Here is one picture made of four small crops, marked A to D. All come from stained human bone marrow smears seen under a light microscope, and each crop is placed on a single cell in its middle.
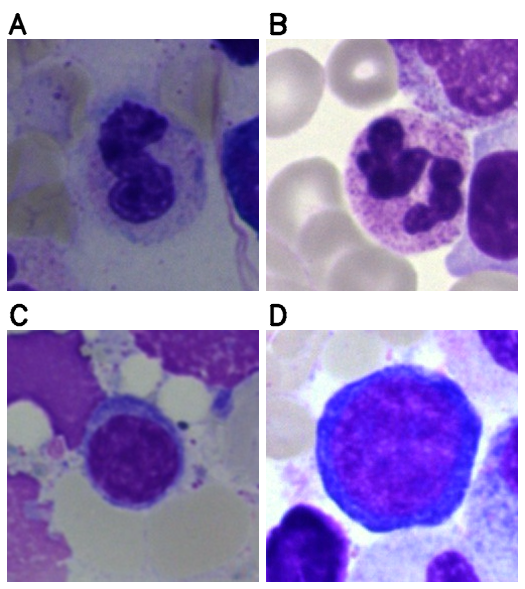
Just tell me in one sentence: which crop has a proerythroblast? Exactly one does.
Crop D, and no other, shows a proerythroblast.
